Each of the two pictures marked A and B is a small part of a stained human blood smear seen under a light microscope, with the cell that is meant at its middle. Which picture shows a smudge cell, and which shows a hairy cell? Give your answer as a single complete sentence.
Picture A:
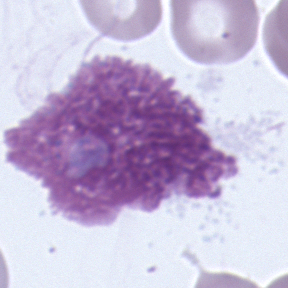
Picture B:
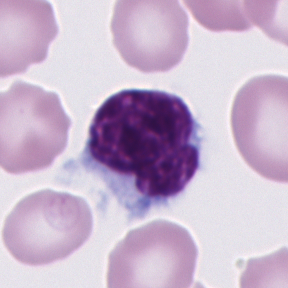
In picture A the cell is a smudge cell; in picture B, a hairy cell.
